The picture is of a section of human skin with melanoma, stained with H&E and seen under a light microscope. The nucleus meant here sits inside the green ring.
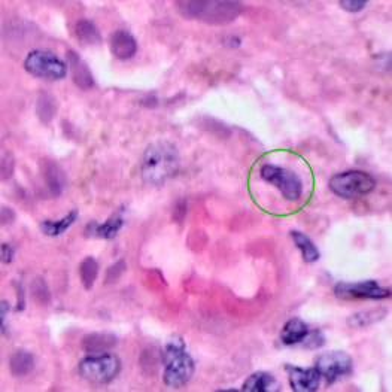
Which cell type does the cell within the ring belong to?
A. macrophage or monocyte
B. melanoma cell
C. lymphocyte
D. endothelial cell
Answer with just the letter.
A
